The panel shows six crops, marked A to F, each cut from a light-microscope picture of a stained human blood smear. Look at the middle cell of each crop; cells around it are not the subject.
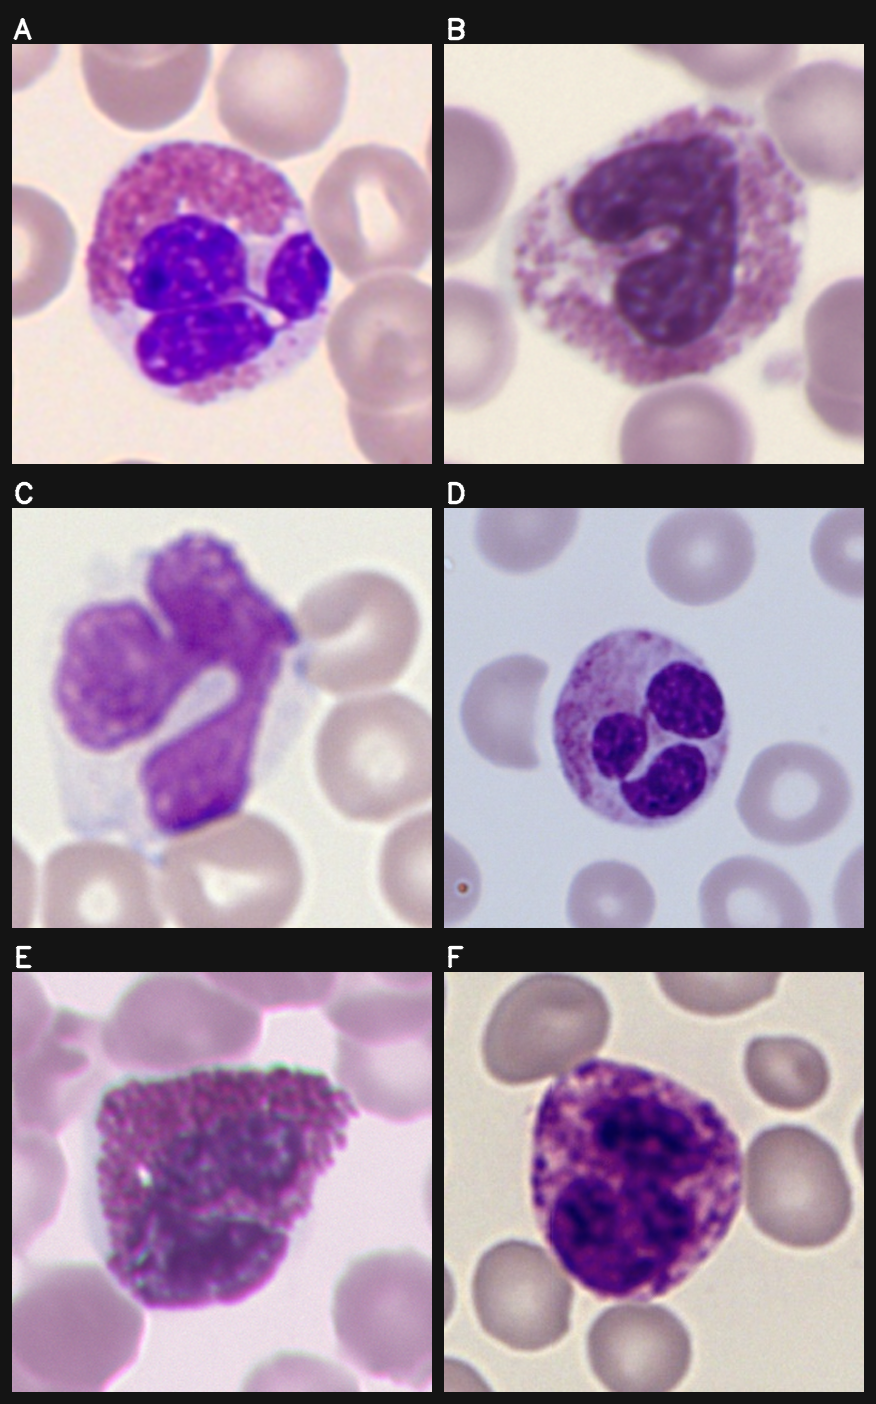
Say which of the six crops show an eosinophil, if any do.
A, B, D, E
